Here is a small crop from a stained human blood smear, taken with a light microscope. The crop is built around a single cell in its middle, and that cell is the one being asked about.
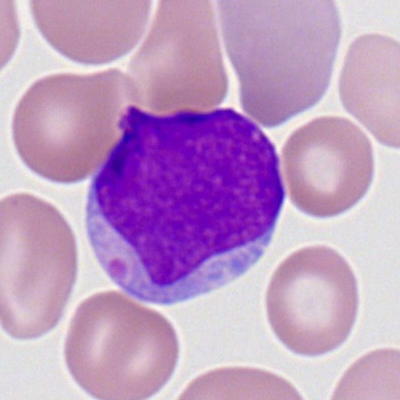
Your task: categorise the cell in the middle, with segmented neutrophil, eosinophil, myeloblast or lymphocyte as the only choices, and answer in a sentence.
The cell centered in this field of view is a myeloblast.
